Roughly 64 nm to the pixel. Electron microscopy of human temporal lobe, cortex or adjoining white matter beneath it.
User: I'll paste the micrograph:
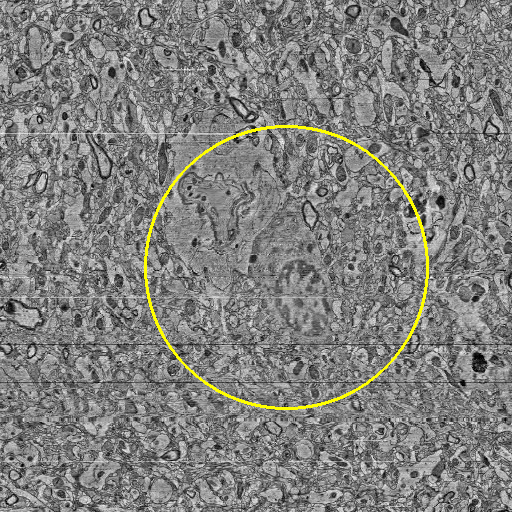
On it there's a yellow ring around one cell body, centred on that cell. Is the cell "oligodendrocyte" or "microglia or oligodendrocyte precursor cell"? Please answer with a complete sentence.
The cell ringed in yellow is an oligodendrocyte.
